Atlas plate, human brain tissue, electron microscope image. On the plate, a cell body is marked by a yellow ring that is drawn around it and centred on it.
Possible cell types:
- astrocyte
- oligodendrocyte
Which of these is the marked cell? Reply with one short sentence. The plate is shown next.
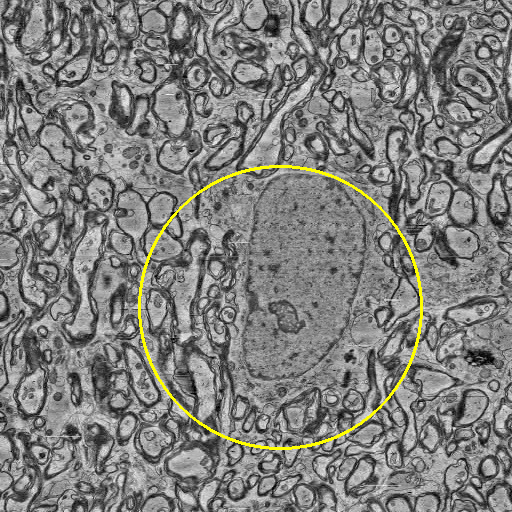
The marked cell is an astrocyte.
